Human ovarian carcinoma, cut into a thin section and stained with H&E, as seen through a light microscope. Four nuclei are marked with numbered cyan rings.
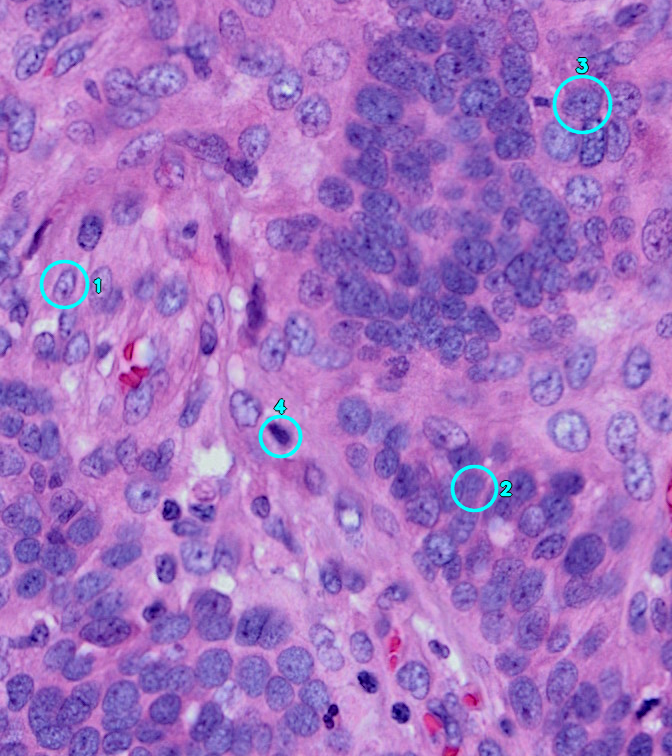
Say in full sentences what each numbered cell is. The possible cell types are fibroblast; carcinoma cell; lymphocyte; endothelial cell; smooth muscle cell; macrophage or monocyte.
Cell 1 is a fibroblast, cell 2 is a carcinoma cell, cell 3 is a carcinoma cell and cell 4 is a lymphocyte.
